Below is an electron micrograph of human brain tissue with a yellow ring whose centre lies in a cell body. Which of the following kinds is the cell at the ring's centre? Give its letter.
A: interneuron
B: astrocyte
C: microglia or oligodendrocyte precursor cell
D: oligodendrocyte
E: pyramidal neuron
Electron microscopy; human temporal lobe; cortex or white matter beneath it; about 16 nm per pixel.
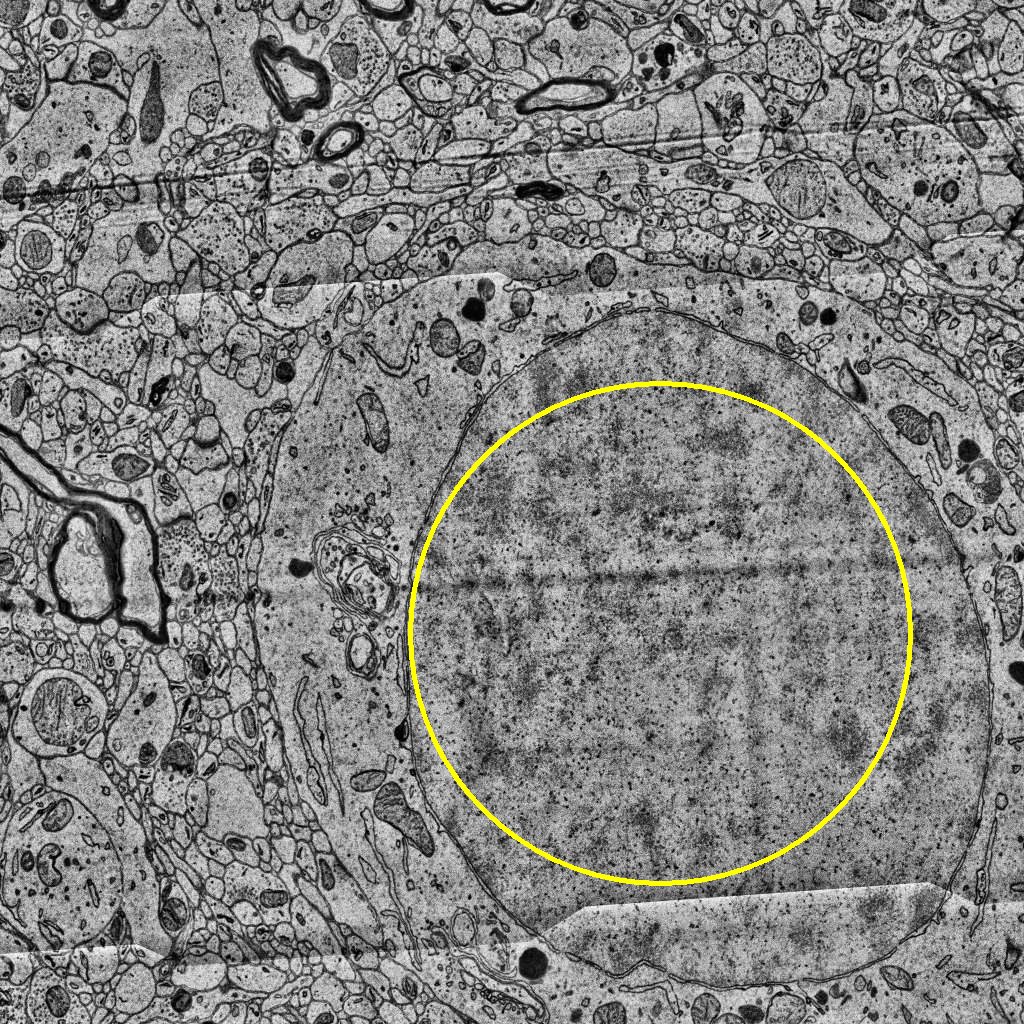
A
